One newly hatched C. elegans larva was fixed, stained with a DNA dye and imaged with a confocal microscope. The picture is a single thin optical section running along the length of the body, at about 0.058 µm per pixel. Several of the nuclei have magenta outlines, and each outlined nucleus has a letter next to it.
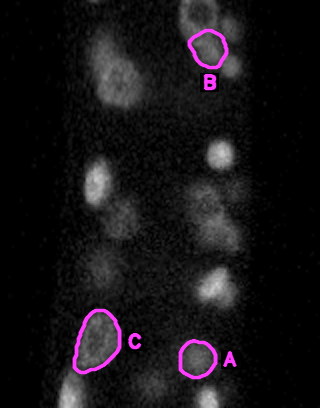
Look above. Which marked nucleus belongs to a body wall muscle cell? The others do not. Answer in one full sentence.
B is the one that belongs to a body wall muscle cell.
